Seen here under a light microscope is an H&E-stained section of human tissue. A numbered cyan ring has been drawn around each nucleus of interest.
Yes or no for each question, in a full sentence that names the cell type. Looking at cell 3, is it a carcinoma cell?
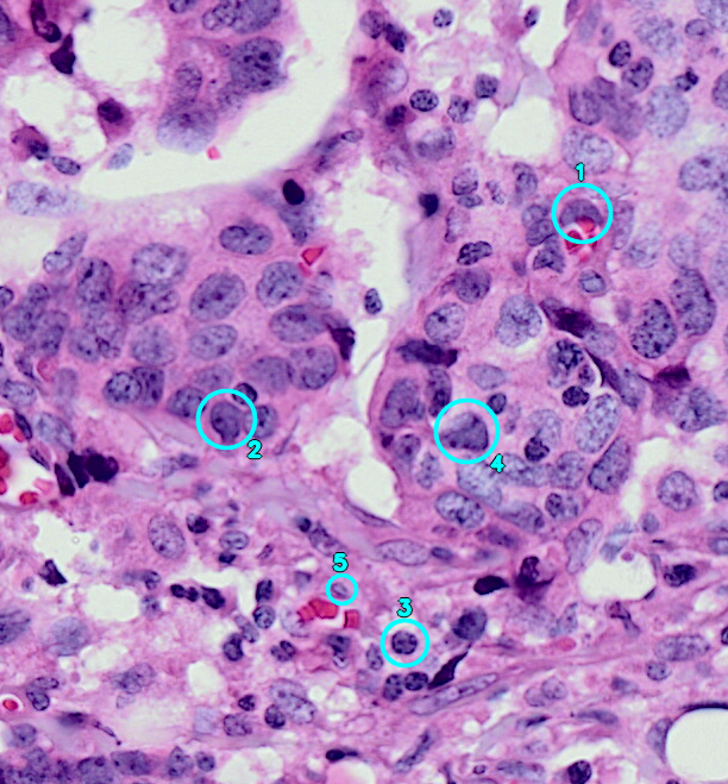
No, cell 3 is not a carcinoma cell. It is a lymphocyte.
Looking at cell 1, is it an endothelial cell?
Yes. The cell carrying number 1 is an endothelial cell.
